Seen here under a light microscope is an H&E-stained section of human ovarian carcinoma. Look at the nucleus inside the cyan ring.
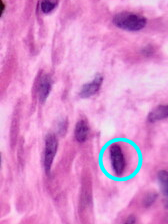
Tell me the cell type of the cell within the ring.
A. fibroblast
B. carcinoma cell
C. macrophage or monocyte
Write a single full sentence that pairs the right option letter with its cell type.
Of all the options, A is right, since the cell within the ring is a fibroblast.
